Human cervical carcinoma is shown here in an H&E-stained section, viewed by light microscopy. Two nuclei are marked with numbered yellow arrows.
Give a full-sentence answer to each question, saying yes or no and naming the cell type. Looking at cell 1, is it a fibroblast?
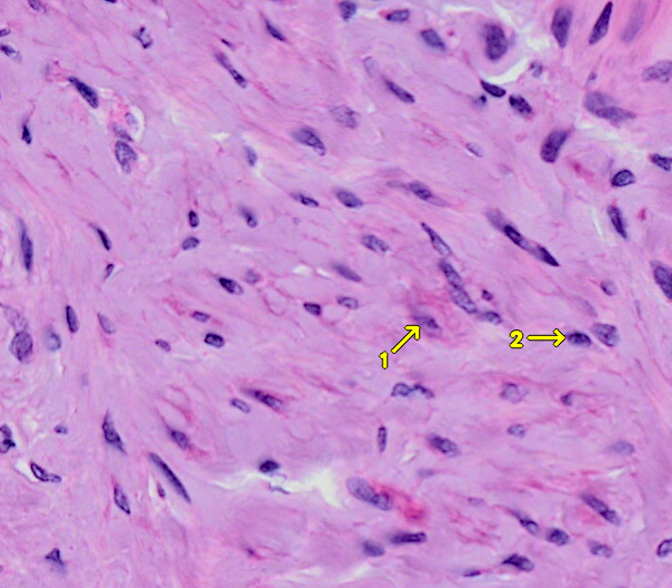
No, calling cell 1 a fibroblast is incorrect; it is a smooth muscle cell.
